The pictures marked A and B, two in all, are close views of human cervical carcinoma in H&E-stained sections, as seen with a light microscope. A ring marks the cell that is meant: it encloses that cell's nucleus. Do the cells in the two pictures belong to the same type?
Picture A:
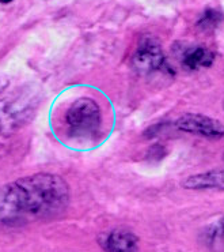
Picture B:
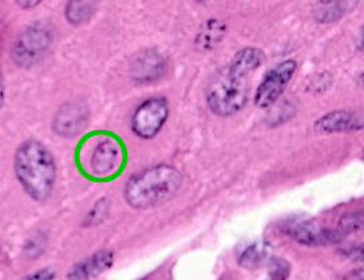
no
